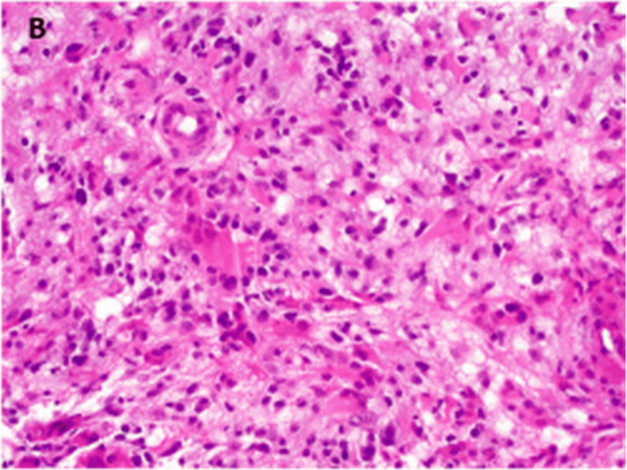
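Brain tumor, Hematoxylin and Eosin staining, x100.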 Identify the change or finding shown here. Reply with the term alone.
marked pleomorphism and cytologic atypia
